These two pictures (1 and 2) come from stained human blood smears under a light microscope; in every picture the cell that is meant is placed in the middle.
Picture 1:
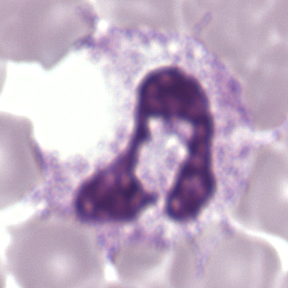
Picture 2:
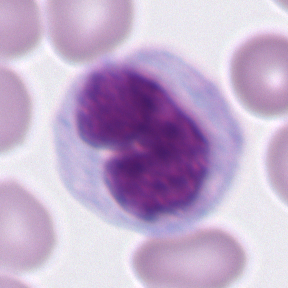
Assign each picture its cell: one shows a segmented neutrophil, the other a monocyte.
1: segmented neutrophil
2: monocyte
